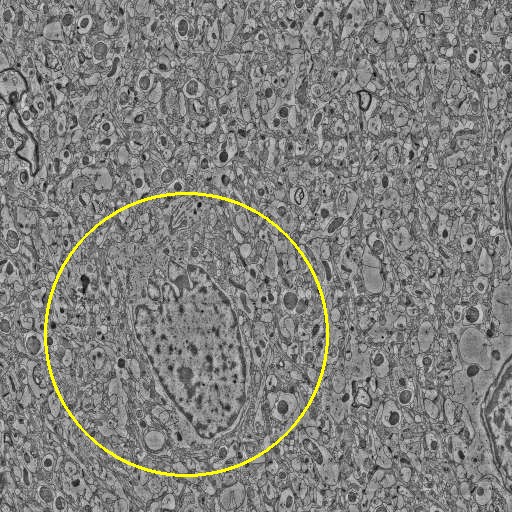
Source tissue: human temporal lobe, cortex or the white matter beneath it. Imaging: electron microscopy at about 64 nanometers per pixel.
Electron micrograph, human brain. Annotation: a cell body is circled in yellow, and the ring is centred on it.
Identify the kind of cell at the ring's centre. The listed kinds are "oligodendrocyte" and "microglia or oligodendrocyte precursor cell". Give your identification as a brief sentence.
The circled cell body is that of a microglial cell or oligodendrocyte precursor cell.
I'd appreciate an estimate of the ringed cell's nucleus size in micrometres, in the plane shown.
In this plane, approximately 10 by 6 micrometers, and clearly longer than it is wide.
